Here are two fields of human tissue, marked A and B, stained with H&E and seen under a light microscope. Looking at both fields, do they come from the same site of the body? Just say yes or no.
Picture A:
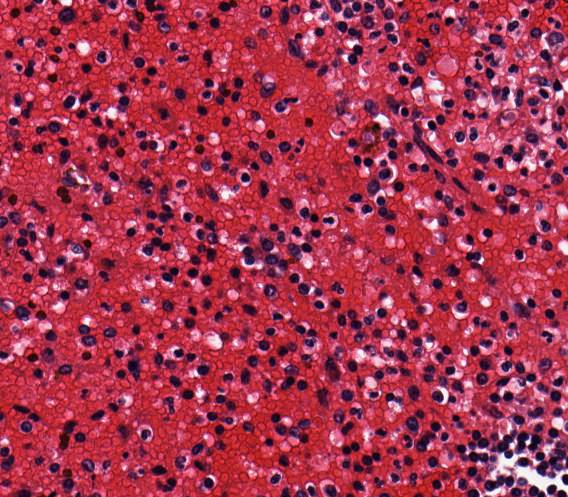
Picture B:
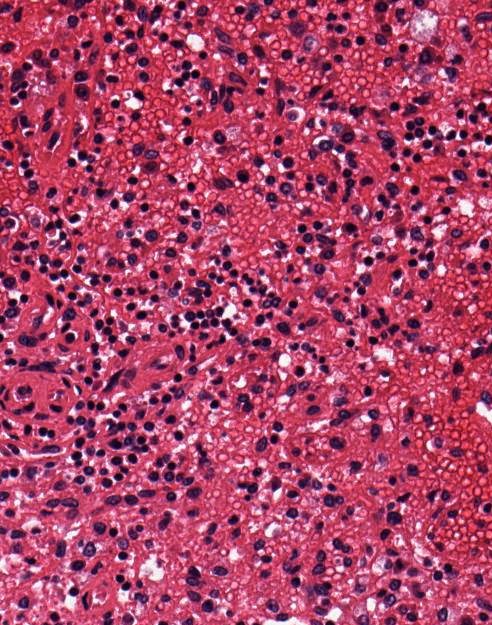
yes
